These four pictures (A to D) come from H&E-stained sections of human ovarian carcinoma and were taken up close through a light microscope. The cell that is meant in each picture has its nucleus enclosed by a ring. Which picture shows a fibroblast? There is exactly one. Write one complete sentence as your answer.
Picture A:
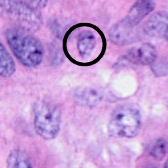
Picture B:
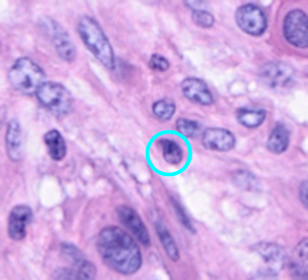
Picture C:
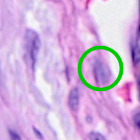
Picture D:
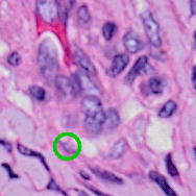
It is picture D that shows the fibroblast.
